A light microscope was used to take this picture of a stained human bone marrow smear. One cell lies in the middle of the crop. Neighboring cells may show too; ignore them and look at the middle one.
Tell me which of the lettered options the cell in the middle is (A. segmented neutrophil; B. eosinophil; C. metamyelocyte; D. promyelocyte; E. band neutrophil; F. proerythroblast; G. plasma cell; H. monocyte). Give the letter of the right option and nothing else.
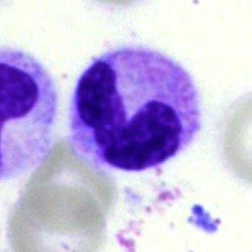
E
